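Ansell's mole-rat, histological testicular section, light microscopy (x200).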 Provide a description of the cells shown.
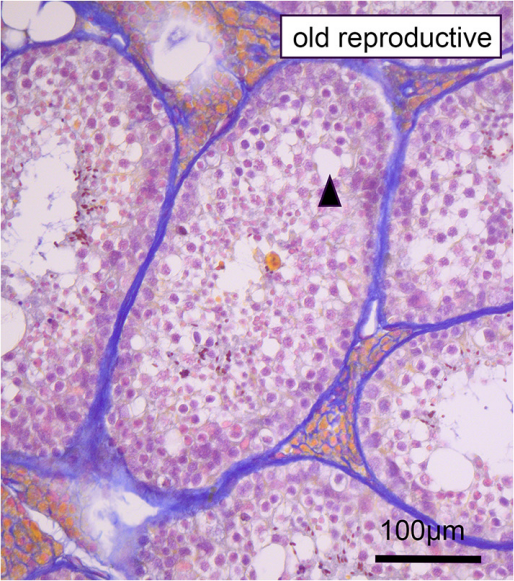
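Testis with large seminiferous tubules separated by broad blue-stained boundaries and wide interstitial areas containing blue fibrous tissue and orange-stained cells. The germinal epithelium consists of many round cells with purple nuclei, loosely arranged, and is riddled with numerous small and large clear empty vacuoles, giving the tubule interior a foamy, pale appearance. Clusters of small dark nuclei lie scattered near tubule centres. Larger clear vacuolated areas occupy tubules at the left and right edges. The epithelium looks less compact than in a full, orderly tubule.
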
